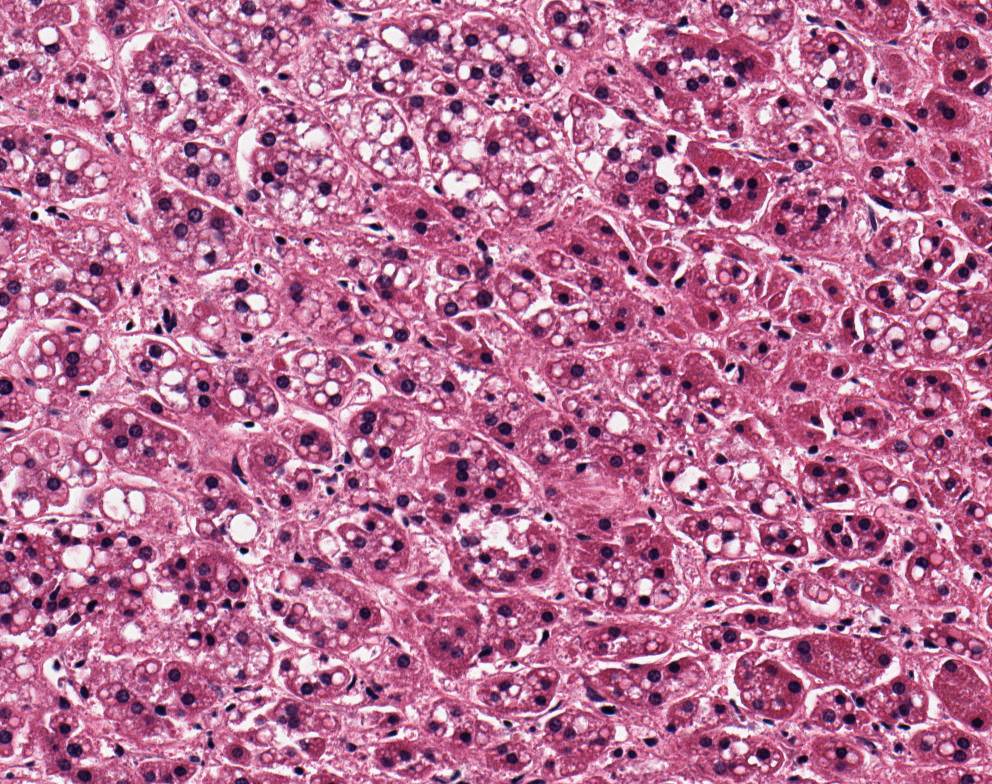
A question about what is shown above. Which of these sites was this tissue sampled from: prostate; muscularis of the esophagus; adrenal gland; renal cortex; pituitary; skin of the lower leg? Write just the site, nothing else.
adrenal gland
